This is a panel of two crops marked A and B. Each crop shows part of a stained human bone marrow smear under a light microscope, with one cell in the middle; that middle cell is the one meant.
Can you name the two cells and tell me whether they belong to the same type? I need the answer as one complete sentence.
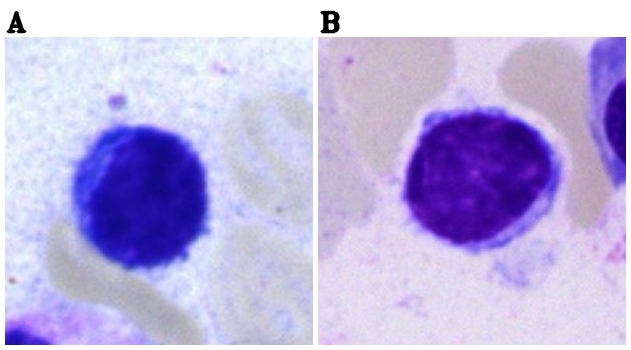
Yes, both crops contain lymphocytes at their centres.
